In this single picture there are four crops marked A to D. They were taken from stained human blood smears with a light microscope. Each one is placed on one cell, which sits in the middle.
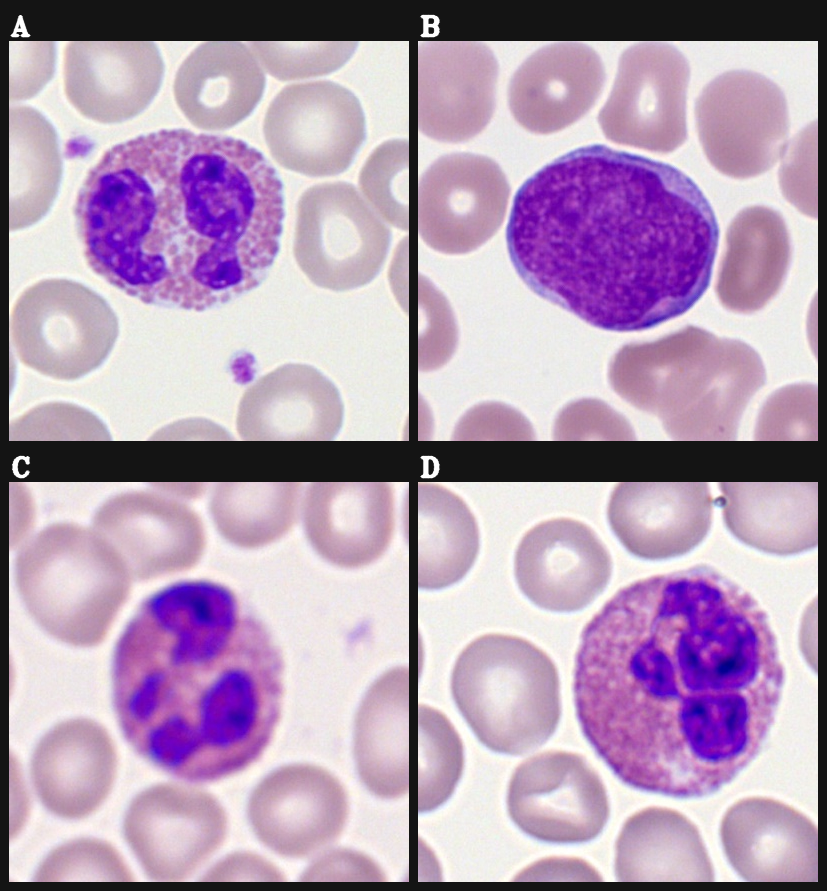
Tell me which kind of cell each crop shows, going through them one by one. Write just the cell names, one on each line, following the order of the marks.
eosinophil
blast
eosinophil
eosinophil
